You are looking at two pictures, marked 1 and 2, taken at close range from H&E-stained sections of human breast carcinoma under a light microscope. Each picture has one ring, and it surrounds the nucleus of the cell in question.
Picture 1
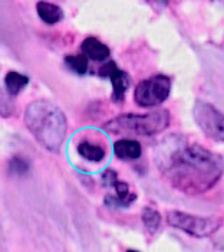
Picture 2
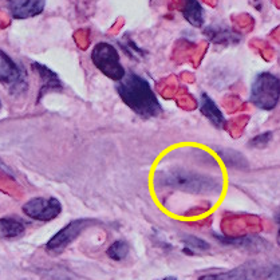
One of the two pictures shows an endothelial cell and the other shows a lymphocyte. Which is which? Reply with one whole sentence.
It is picture 1 that shows a lymphocyte, and picture 2 that shows an endothelial cell.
